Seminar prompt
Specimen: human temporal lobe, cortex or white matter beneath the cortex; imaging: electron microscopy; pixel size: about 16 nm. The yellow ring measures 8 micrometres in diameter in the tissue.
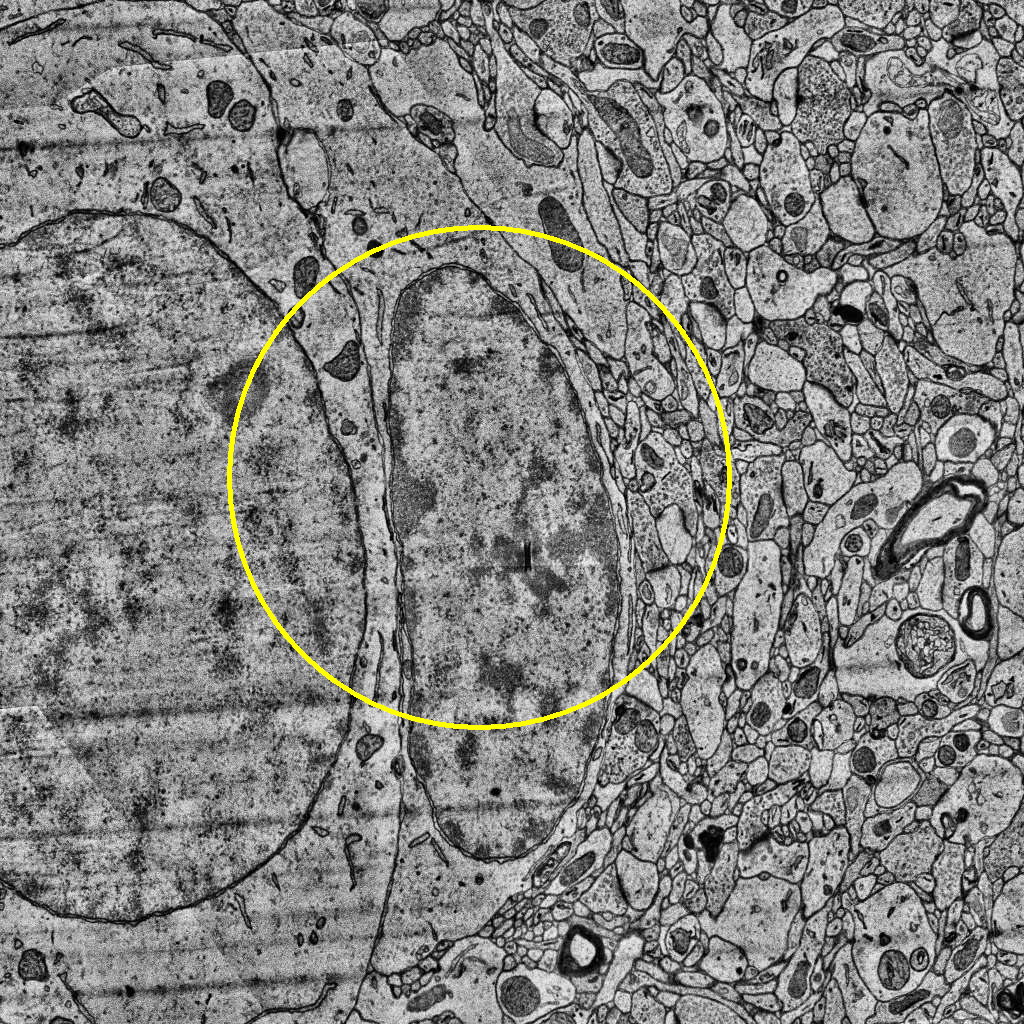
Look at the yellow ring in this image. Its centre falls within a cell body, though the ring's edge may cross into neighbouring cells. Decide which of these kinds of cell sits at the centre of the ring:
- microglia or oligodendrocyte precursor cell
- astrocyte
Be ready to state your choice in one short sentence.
The kind of cell at the ring's centre is a microglial cell or oligodendrocyte precursor cell.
